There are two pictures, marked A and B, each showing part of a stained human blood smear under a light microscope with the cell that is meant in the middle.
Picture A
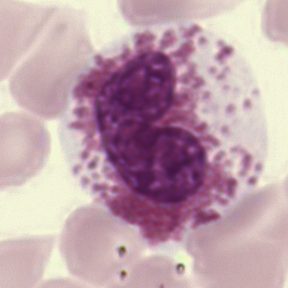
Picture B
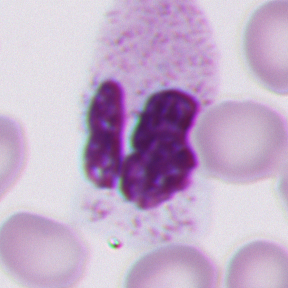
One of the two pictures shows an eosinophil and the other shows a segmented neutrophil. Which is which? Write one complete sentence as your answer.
Picture A is of an eosinophil, and picture B is of a segmented neutrophil.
